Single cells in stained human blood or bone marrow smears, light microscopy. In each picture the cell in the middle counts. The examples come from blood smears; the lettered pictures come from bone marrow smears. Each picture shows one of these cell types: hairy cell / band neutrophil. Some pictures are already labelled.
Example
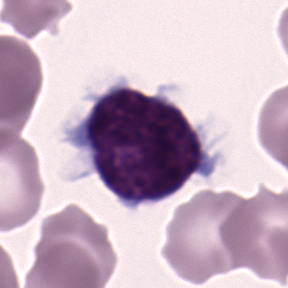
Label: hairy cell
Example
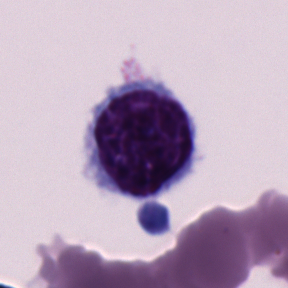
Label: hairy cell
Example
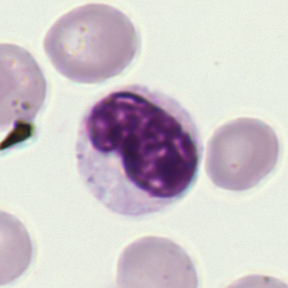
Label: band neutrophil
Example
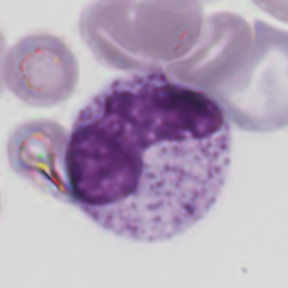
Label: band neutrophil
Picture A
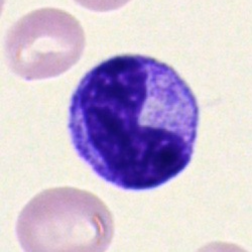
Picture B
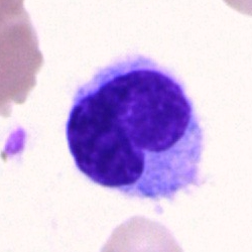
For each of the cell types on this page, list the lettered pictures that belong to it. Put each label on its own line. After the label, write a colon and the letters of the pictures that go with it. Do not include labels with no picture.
hairy cell: B
band neutrophil: A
